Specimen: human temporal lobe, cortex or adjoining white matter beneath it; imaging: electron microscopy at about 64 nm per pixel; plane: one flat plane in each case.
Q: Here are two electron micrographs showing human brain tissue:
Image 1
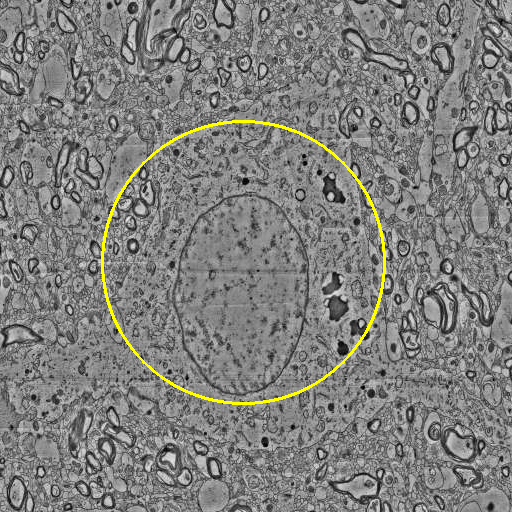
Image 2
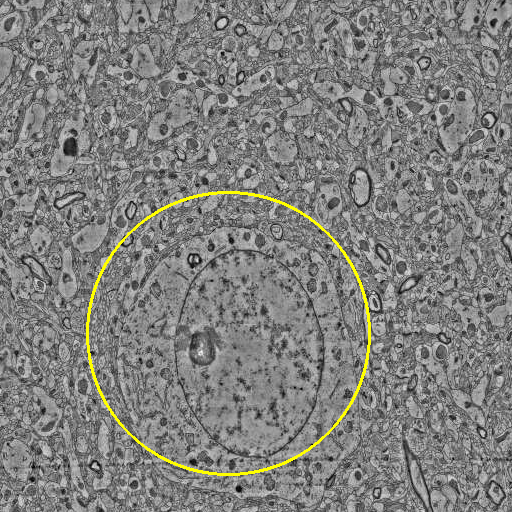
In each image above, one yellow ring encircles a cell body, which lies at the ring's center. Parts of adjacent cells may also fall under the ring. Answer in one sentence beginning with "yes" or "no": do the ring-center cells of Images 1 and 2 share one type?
Yes, in Images 1 and 2, the ring-center cells are both of one type.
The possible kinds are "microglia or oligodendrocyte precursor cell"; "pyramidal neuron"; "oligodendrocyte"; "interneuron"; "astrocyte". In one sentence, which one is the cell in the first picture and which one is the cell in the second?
Each cell, in the first picture and the second, is a pyramidal neuron.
